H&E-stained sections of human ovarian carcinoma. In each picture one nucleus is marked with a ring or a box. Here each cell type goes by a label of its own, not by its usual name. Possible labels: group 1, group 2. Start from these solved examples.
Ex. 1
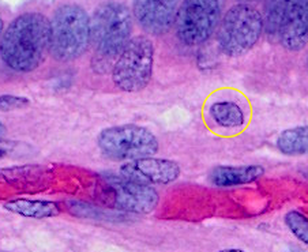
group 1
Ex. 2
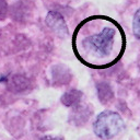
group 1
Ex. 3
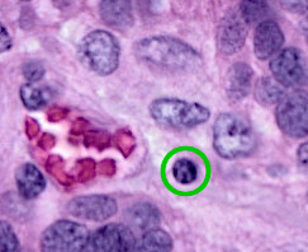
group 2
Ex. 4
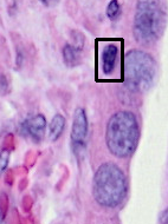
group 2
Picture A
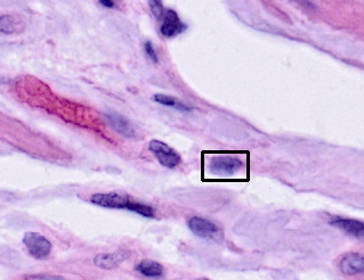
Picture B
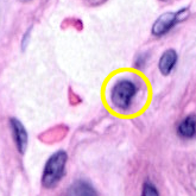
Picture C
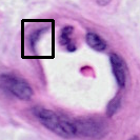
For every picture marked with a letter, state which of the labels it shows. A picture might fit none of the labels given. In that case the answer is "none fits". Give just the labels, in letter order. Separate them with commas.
group 1, none fits, none fits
